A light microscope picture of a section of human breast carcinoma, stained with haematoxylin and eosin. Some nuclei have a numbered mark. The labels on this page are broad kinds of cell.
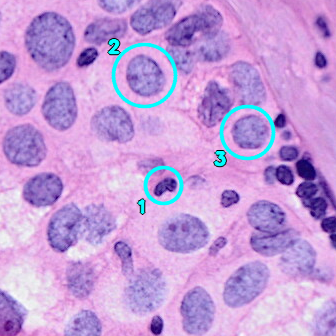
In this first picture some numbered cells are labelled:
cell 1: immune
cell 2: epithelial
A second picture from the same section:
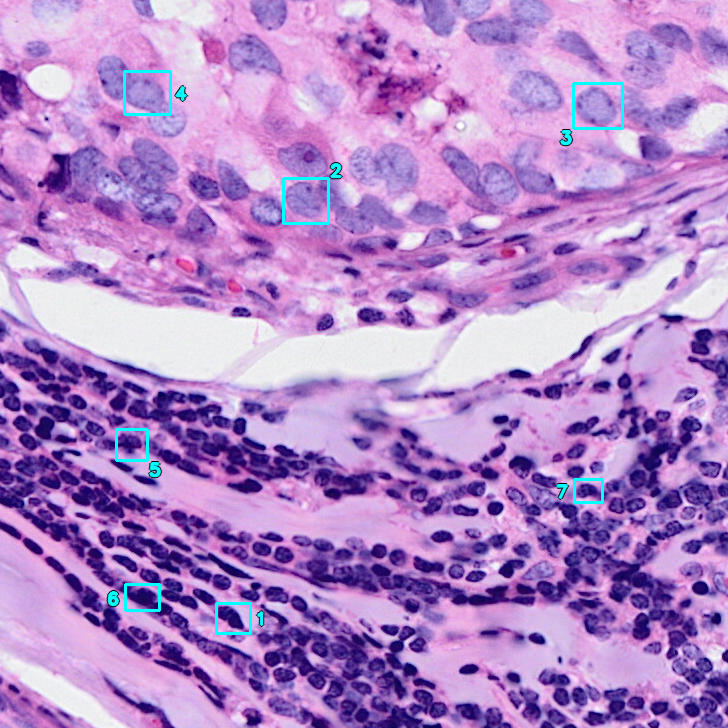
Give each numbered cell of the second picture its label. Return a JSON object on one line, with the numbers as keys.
{"1": "immune", "2": "epithelial", "3": "epithelial", "4": "epithelial", "5": "immune", "6": "immune", "7": "immune"}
